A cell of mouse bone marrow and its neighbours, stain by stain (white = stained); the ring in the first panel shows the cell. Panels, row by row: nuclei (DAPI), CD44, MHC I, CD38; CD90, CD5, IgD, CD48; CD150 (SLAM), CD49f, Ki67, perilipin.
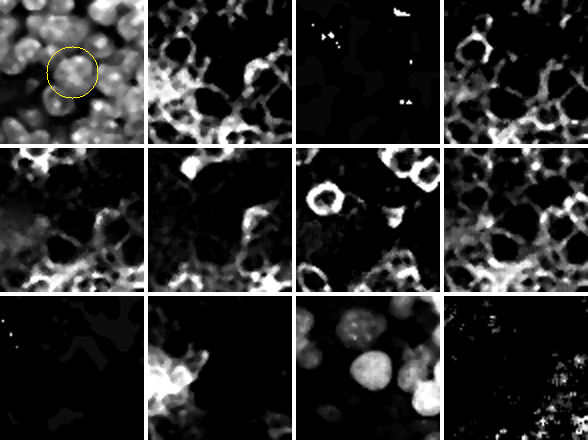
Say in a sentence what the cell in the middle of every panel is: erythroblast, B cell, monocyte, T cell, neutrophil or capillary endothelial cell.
This is an erythroblast.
